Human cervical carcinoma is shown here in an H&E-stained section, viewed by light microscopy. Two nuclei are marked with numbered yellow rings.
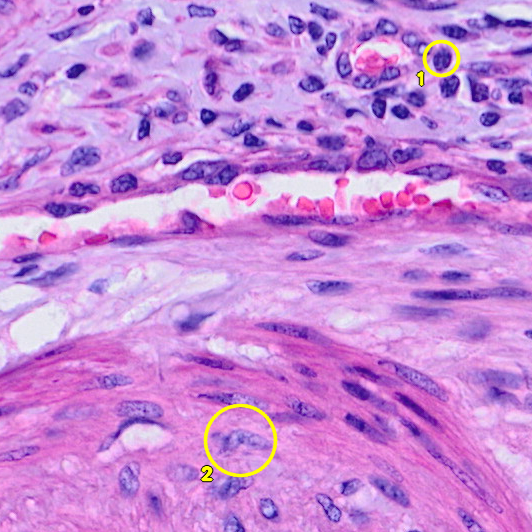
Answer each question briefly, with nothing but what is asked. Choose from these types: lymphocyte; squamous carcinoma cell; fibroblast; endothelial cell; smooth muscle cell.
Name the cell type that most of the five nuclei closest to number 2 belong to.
smooth muscle cell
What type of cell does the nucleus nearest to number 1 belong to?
endothelial cell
